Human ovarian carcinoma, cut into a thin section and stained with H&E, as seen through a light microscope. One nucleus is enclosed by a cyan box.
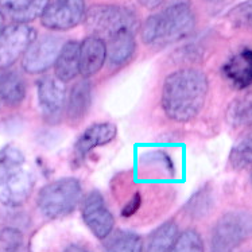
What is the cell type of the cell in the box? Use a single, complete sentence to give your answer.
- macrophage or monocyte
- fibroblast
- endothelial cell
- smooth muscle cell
So far as cell type goes, the cell in the box is a macrophage or monocyte.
